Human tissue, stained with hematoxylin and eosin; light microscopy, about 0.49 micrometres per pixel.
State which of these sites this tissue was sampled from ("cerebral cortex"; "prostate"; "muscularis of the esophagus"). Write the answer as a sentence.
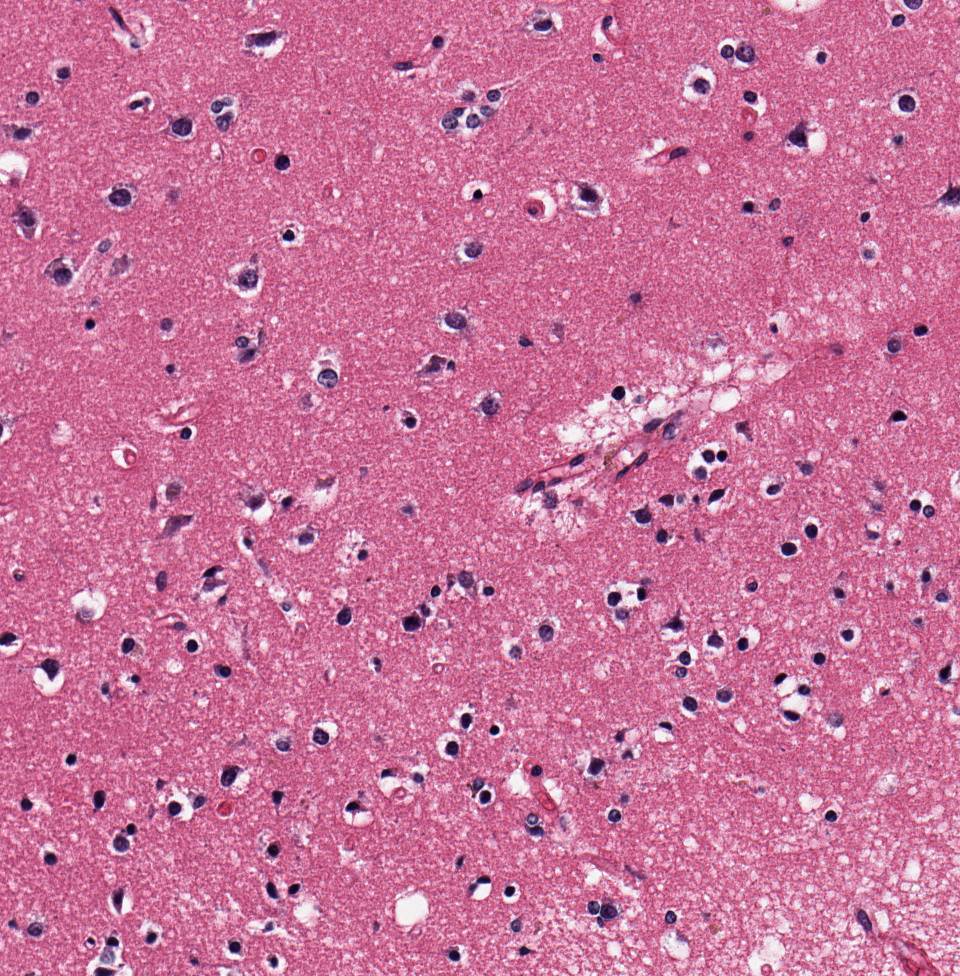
The site this tissue was sampled from is the cerebral cortex.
